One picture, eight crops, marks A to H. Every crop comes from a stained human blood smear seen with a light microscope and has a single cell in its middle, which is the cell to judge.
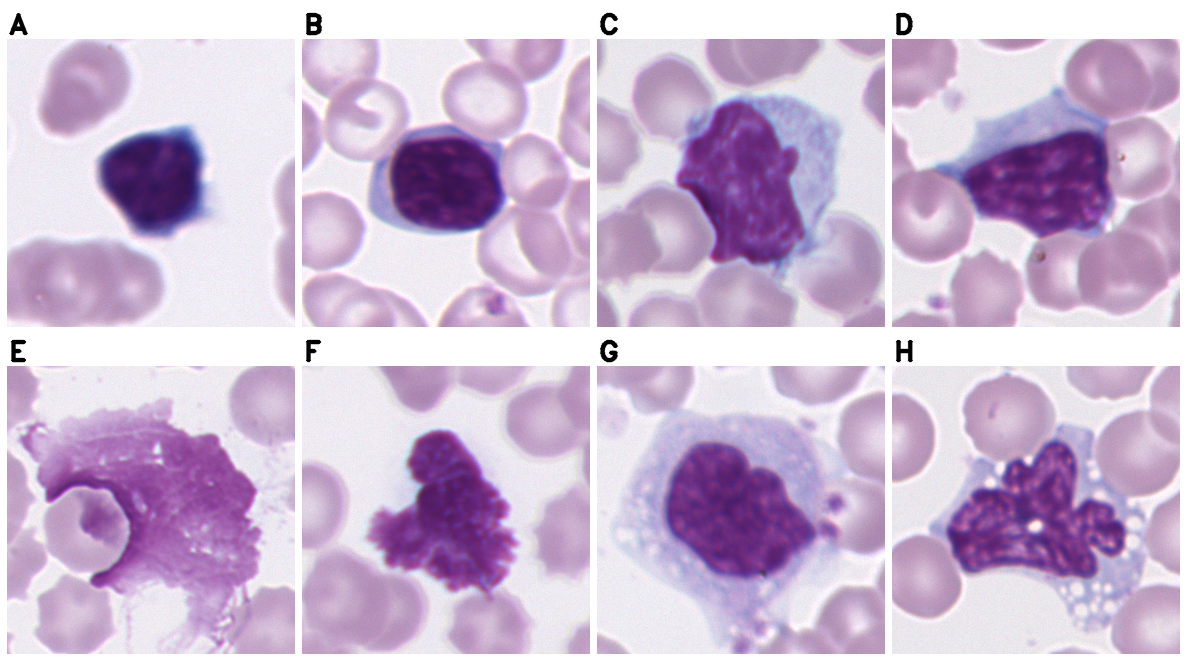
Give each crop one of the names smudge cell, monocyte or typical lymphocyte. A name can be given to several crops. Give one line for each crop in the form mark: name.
A: typical lymphocyte
B: typical lymphocyte
C: monocyte
D: typical lymphocyte
E: smudge cell
F: smudge cell
G: monocyte
H: monocyte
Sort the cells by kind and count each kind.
typical lymphocyte: 3
monocyte: 3
smudge cell: 2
